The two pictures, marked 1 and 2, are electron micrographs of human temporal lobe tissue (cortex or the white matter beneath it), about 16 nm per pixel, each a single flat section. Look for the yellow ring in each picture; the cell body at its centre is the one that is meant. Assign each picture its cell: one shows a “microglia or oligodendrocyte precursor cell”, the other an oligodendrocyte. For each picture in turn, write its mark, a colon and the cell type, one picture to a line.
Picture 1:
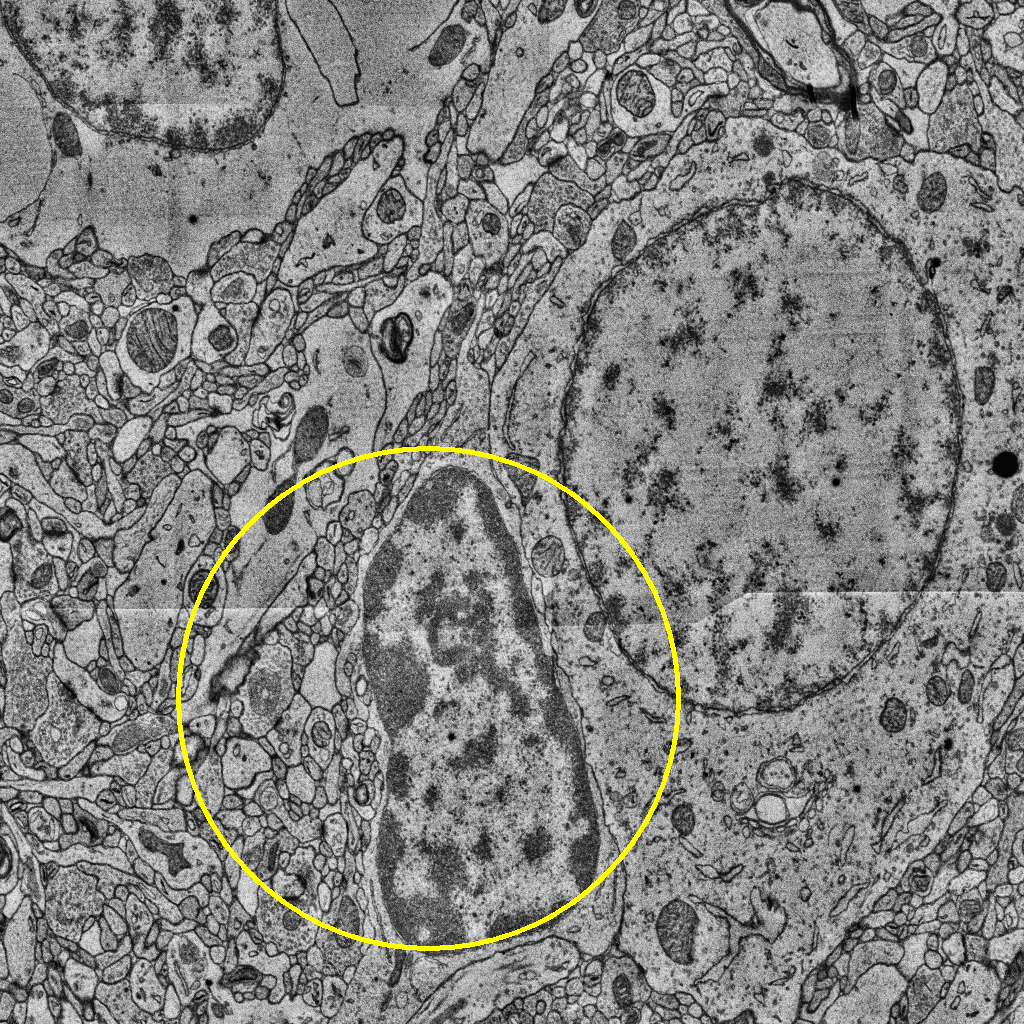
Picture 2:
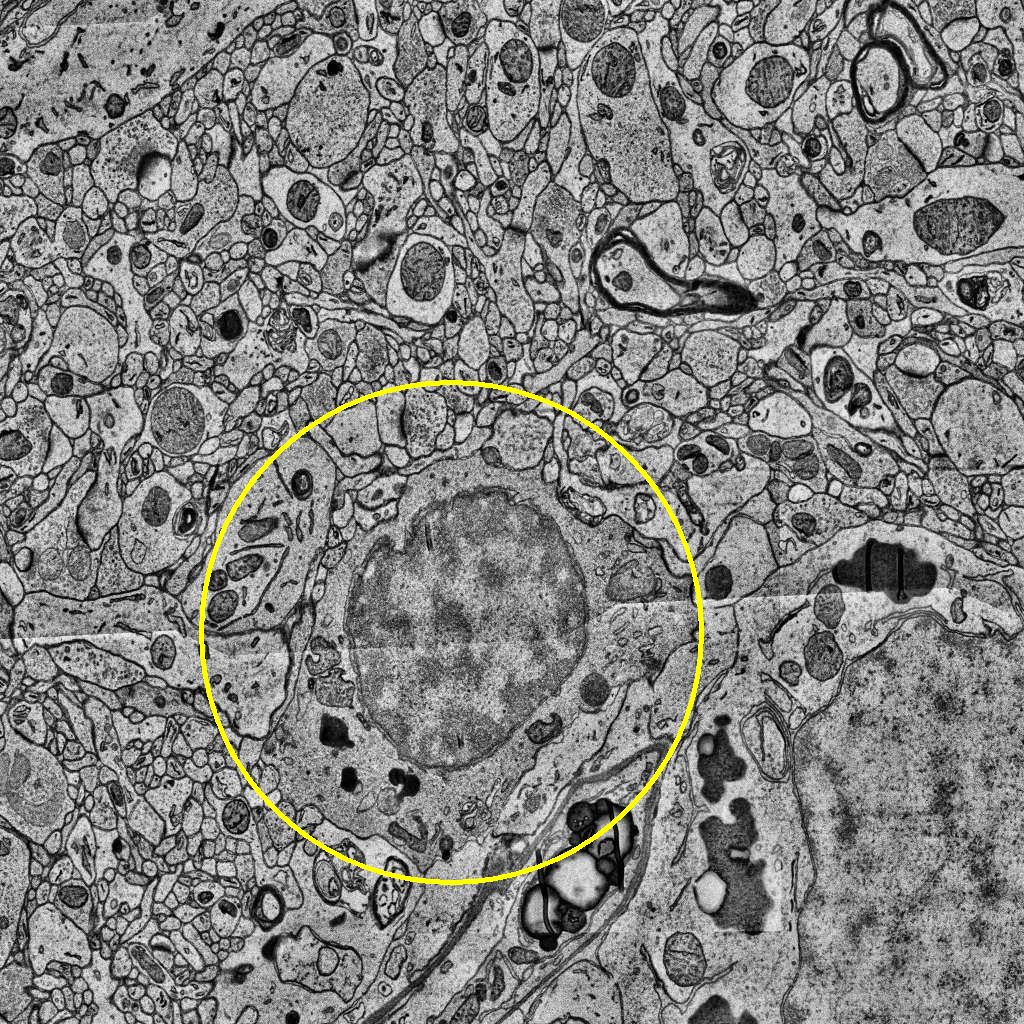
1: microglia or oligodendrocyte precursor cell
2: oligodendrocyte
